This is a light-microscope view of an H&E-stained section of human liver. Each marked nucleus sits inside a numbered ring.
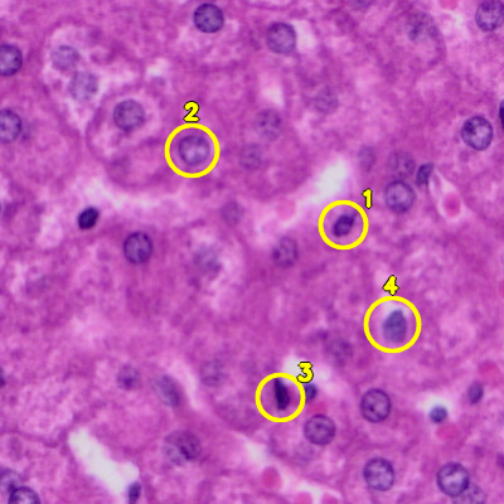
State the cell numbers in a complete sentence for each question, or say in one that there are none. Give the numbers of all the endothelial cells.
It is cell 4, and no other numbered cell, that is an endothelial cell.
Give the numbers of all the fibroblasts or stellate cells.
The cells to which the numbers 1 and 3 refer are fibroblasts or stellate cells.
